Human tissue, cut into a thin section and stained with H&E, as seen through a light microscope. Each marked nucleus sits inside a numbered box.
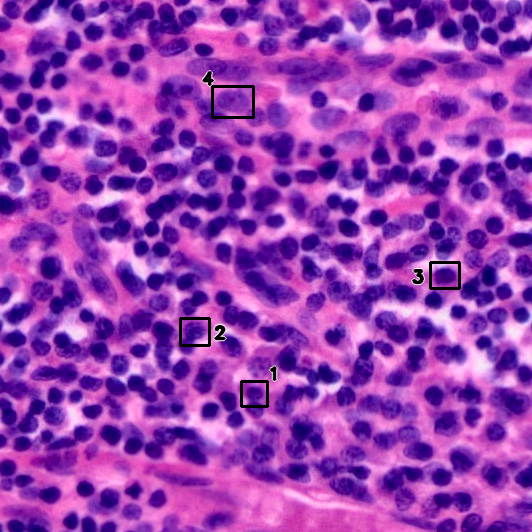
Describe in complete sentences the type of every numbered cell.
Cells 1, 2 and 3 are plasma cells. Cell 4 is an endothelial cell.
